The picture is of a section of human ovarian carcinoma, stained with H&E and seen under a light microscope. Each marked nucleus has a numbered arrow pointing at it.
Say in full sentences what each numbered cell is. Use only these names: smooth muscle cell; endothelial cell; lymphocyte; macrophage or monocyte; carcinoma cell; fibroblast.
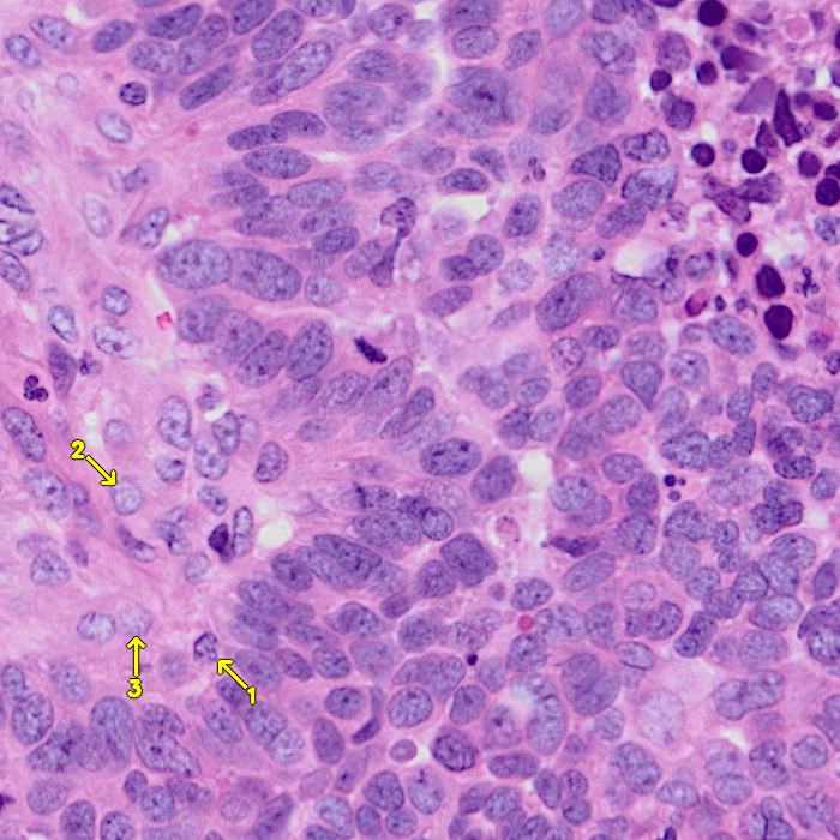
Cell 1 is a macrophage or monocyte, cell 2 is a fibroblast and cell 3 is a fibroblast.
